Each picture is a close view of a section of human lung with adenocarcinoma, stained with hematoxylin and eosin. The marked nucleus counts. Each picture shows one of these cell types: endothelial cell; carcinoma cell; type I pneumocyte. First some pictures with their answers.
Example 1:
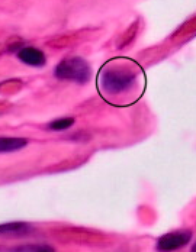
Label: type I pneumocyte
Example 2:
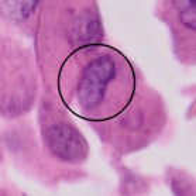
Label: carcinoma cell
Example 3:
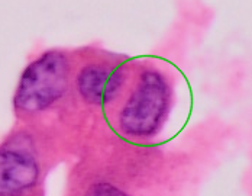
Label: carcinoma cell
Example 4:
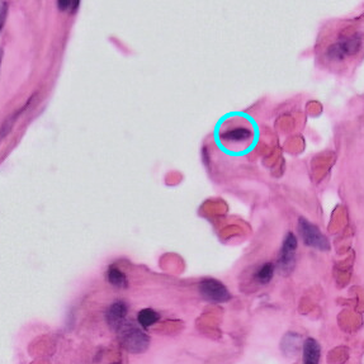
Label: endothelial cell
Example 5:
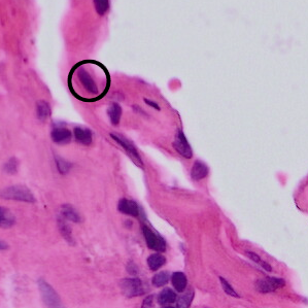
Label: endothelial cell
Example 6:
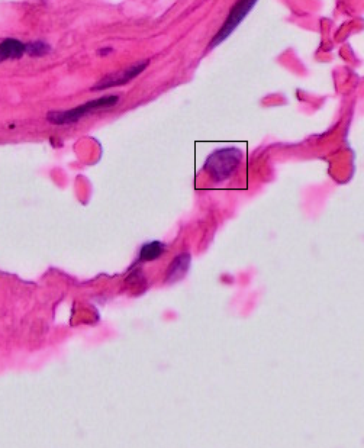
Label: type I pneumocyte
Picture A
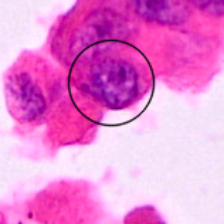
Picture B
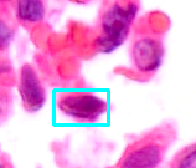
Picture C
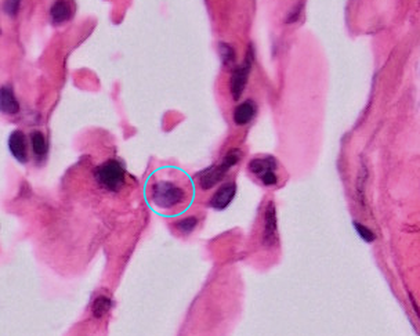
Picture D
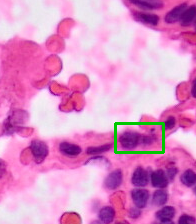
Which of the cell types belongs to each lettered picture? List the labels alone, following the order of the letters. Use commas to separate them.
carcinoma cell, carcinoma cell, type I pneumocyte, type I pneumocyte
